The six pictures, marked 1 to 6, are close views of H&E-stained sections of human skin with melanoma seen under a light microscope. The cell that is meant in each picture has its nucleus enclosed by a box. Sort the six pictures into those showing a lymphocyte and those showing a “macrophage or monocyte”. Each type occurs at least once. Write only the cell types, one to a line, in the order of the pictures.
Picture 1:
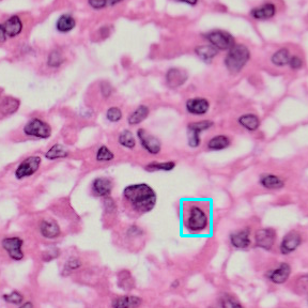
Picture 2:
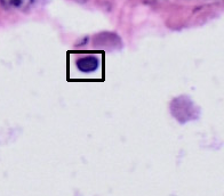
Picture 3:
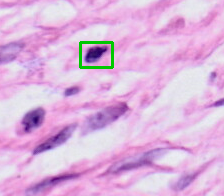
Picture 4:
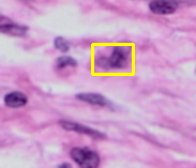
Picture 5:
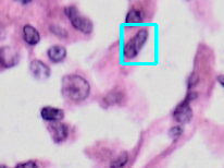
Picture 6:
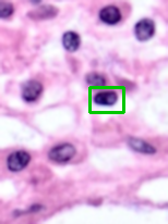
macrophage or monocyte
lymphocyte
lymphocyte
macrophage or monocyte
macrophage or monocyte
lymphocyte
